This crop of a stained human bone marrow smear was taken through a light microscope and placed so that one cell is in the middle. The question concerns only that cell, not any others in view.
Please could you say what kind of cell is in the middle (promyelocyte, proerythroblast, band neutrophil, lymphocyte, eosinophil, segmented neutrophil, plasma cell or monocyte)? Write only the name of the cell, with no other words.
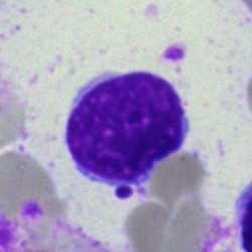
lymphocyte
